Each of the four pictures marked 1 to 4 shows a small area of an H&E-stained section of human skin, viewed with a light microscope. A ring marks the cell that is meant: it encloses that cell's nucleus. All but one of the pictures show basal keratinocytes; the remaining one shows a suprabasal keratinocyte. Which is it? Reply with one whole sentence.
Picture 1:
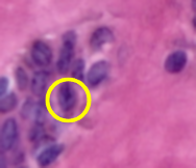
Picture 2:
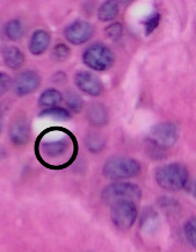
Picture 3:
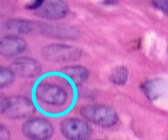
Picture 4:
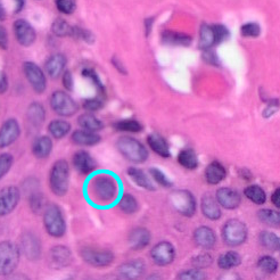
The picture with the suprabasal keratinocyte is 3.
